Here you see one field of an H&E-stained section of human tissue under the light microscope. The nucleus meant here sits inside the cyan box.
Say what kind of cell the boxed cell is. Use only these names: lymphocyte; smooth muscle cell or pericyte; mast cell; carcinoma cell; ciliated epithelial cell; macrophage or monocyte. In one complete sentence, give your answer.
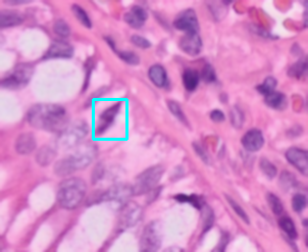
Right, so the boxed cell is a ciliated epithelial cell, to answer that.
